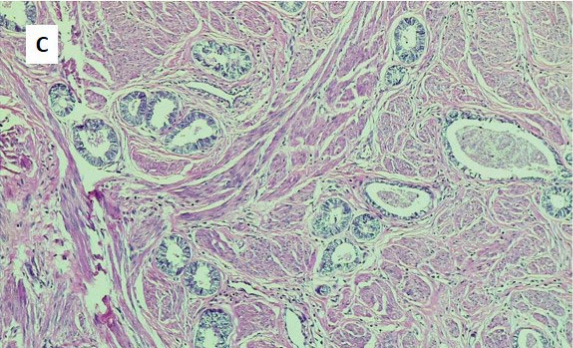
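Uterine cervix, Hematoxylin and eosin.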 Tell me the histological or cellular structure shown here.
Tubular structures.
